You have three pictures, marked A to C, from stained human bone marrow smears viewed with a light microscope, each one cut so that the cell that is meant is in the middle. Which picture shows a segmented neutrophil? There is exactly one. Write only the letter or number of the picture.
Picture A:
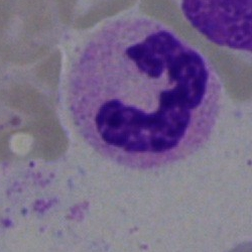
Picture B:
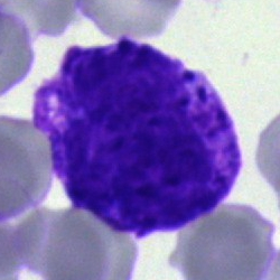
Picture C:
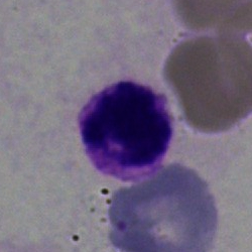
A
